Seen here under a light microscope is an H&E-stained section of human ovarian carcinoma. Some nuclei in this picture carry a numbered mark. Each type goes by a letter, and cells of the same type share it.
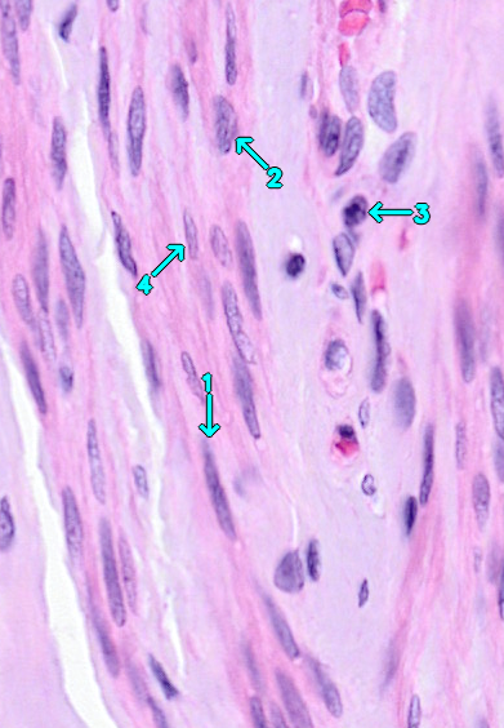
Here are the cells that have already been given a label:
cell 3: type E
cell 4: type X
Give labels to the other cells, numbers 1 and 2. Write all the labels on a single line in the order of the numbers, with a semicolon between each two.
type X; type X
